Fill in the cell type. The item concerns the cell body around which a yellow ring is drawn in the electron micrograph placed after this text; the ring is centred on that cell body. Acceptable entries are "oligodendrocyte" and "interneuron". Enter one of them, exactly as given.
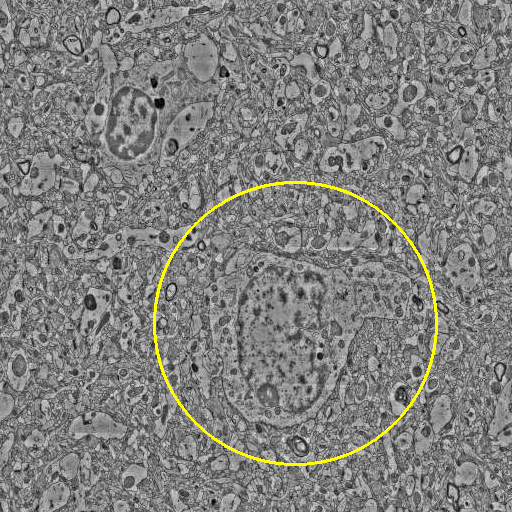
interneuron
